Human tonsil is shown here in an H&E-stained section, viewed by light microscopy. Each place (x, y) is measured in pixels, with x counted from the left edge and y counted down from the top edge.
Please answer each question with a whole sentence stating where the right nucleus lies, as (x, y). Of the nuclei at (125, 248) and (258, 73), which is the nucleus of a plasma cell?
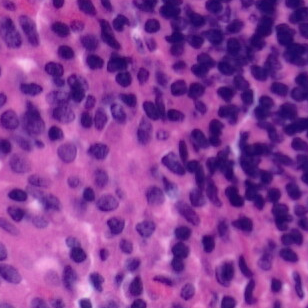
The nucleus that sits at (125, 248) is the nucleus of a plasma cell.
